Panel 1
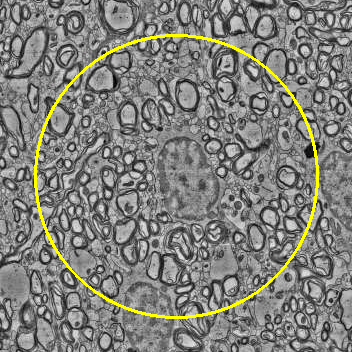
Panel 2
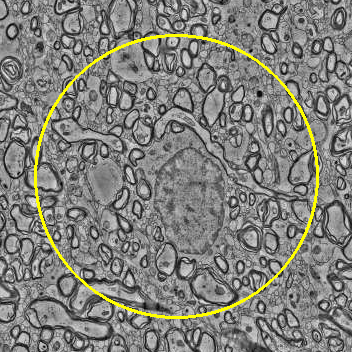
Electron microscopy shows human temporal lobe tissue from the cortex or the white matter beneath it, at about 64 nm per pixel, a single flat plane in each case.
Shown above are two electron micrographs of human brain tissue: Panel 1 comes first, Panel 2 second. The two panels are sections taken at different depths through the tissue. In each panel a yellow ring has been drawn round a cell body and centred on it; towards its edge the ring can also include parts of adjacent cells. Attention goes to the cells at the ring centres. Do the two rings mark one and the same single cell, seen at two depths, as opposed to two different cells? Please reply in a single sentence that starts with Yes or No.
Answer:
No, the two yellow rings correspond to two separate cells.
